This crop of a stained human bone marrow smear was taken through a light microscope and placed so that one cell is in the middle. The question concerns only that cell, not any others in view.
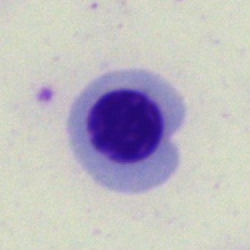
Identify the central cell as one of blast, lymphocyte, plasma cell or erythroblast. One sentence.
In short, the cell at the center is an erythroblast.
